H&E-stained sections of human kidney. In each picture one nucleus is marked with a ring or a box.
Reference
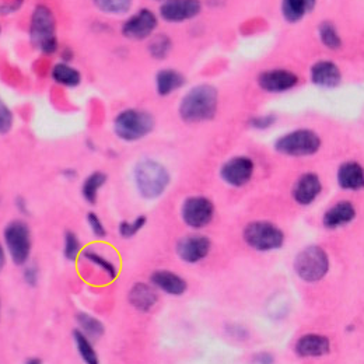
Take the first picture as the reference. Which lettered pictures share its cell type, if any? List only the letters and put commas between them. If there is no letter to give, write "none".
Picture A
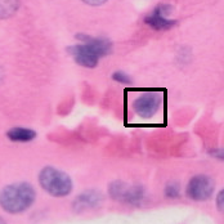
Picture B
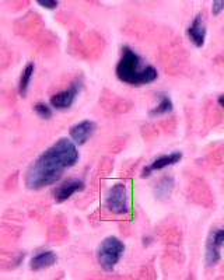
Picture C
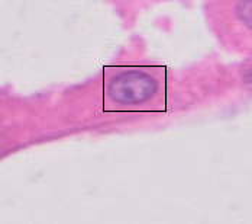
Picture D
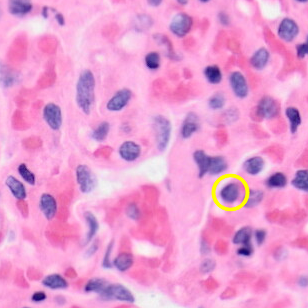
A, B, D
